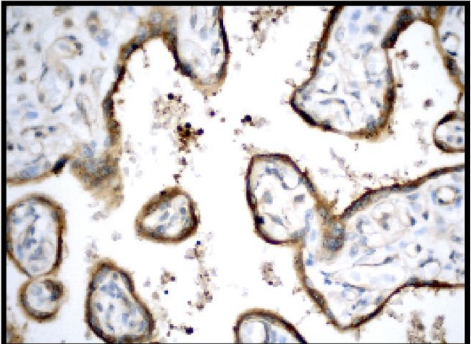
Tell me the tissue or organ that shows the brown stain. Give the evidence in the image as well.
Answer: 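A dark brown band lines the outer surface of each villus. The villous core inside the band is only faintly stained.
Trophoblast.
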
